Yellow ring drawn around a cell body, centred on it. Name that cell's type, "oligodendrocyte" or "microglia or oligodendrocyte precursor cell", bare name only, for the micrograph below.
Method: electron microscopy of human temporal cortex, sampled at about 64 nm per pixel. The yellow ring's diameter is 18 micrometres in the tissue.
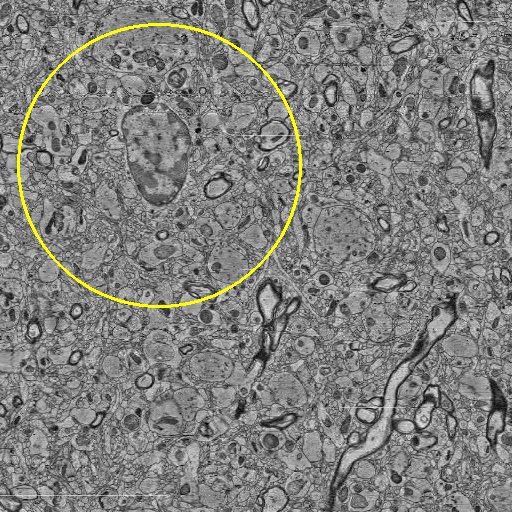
microglia or oligodendrocyte precursor cell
